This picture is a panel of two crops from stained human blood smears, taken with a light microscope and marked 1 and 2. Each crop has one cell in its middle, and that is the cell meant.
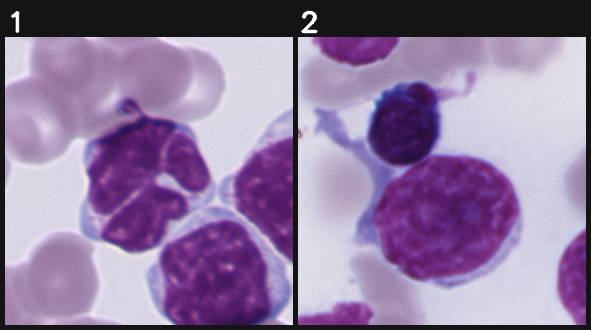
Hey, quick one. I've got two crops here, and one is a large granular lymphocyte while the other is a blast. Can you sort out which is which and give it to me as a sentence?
Taken crop by crop, crop 1 is a large granular lymphocyte and crop 2 is a blast.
